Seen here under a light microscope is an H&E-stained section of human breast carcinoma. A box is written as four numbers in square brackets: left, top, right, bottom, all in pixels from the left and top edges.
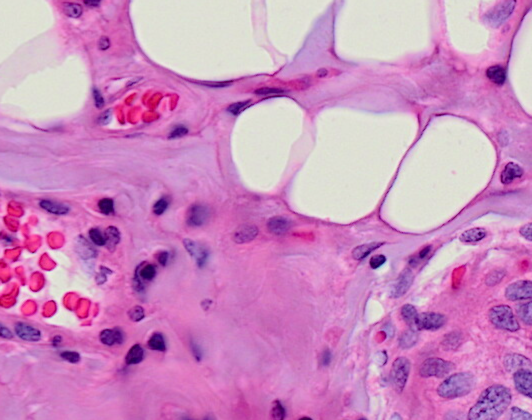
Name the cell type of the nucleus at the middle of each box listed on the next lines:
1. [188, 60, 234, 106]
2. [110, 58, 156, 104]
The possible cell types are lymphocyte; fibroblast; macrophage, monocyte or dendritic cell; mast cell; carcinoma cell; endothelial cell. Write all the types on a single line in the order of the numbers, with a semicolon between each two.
fibroblast; endothelial cell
